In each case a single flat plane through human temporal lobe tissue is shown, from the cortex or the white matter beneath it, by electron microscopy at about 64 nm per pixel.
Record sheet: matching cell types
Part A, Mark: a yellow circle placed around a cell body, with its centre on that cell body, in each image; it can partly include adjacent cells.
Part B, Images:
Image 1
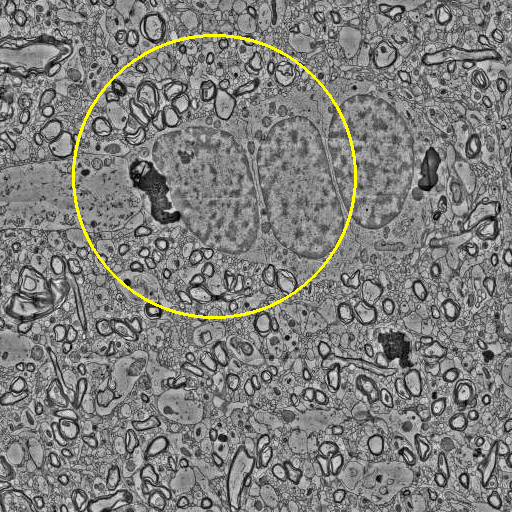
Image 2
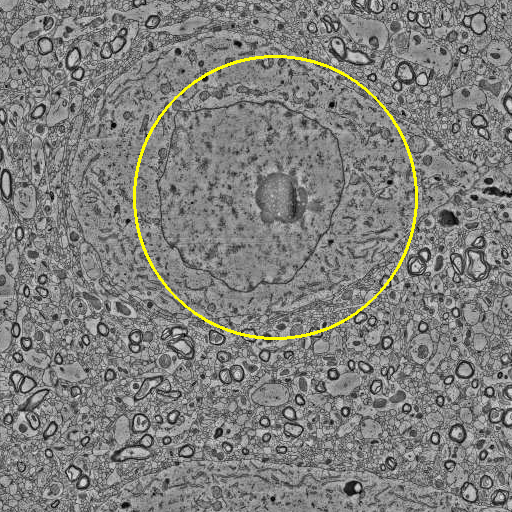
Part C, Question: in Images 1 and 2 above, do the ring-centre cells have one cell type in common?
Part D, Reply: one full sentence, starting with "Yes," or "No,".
No, the ring-centre cells of Image 1 and Image 2 are each of a separate cell type.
